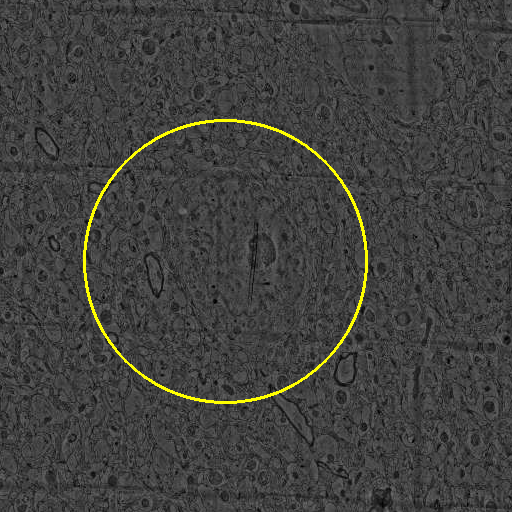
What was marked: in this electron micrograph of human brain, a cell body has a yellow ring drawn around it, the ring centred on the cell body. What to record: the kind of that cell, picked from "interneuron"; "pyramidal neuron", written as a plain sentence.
The centred cell is an interneuron.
